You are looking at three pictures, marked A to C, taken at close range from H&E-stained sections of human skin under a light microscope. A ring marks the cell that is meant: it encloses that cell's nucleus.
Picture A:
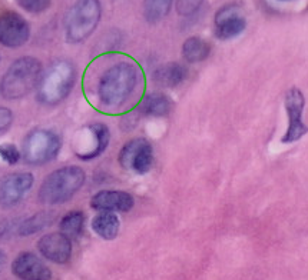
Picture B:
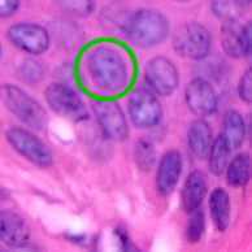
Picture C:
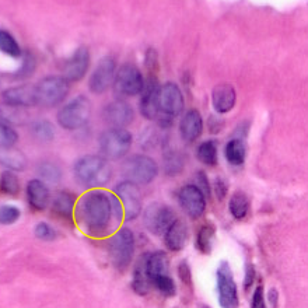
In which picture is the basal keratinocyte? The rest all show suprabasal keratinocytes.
C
